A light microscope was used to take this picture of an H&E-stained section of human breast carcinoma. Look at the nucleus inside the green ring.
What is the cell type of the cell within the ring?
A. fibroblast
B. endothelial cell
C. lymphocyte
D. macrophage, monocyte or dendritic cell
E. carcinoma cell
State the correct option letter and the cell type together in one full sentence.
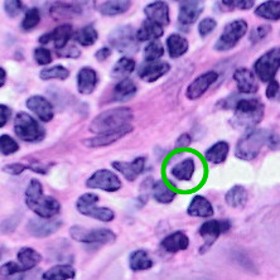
Given that the cell within the ring is a lymphocyte, option C is the correct one.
